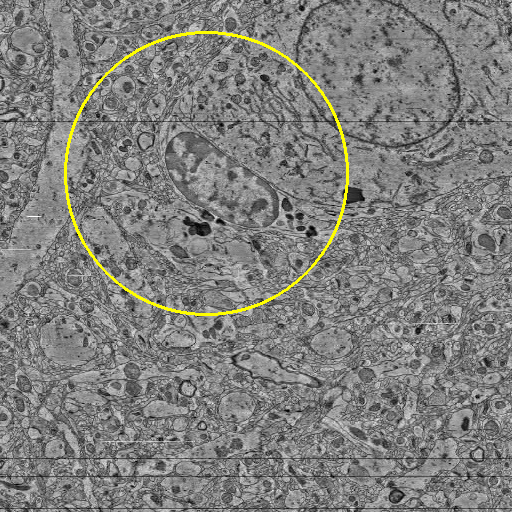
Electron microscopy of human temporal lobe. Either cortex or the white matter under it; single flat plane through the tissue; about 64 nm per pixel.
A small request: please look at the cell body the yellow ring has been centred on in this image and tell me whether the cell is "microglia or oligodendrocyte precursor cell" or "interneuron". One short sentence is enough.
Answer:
The cell marked by the ring is a microglial cell or oligodendrocyte precursor cell.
